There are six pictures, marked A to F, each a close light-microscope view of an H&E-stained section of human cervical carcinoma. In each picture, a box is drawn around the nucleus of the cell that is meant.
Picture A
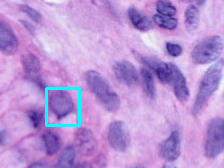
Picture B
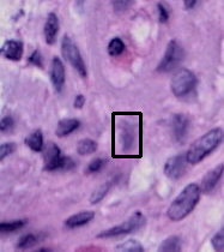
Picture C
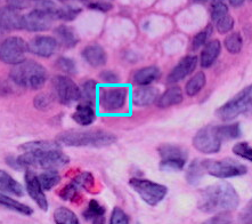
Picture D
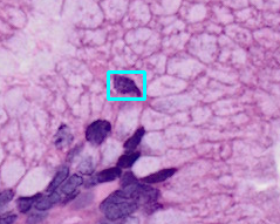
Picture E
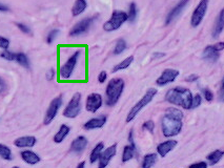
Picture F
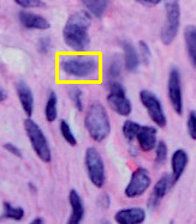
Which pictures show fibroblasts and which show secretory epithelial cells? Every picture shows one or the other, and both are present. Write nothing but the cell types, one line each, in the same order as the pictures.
secretory epithelial cell
fibroblast
secretory epithelial cell
secretory epithelial cell
fibroblast
fibroblast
